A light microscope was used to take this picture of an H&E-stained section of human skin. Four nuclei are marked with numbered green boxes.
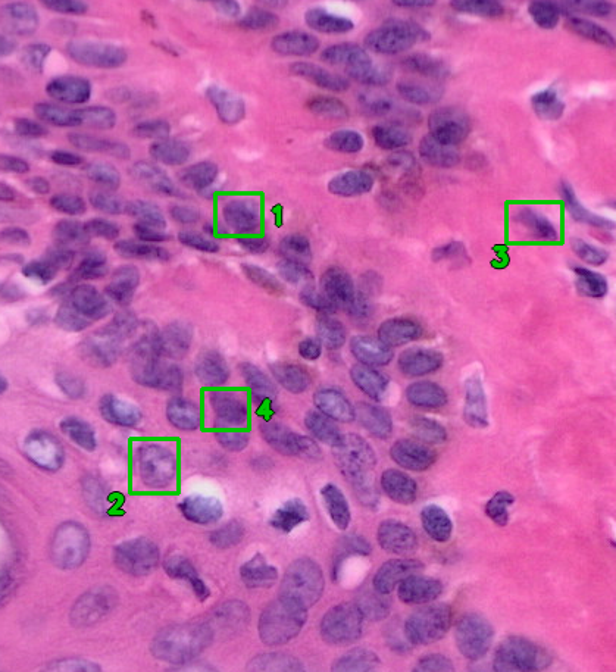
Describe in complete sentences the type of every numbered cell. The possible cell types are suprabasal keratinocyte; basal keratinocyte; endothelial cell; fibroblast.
Cells 1 and 4 are basal keratinocytes. Cell 2 is a suprabasal keratinocyte. Cell 3 is a fibroblast.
